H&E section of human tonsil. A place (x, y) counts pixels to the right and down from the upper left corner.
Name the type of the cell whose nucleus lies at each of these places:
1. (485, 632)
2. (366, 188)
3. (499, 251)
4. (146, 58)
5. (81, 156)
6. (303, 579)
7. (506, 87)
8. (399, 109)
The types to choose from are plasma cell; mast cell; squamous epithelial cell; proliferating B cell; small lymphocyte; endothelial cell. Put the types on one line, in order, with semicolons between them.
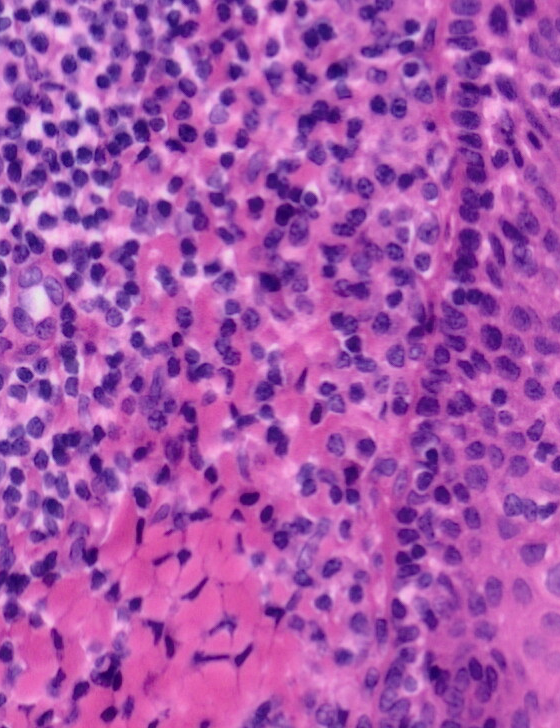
squamous epithelial cell; plasma cell; squamous epithelial cell; small lymphocyte; small lymphocyte; plasma cell; squamous epithelial cell; plasma cell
